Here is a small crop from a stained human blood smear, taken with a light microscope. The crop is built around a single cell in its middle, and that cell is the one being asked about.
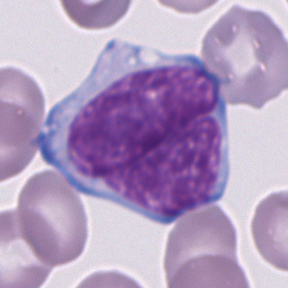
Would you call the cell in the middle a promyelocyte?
no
